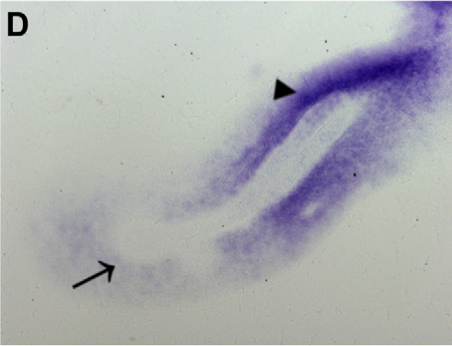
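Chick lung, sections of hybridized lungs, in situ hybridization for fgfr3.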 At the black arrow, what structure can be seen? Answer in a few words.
Main bronchus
